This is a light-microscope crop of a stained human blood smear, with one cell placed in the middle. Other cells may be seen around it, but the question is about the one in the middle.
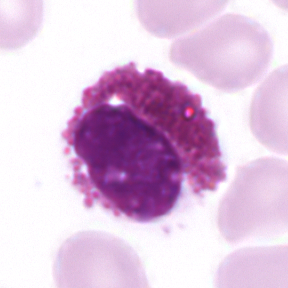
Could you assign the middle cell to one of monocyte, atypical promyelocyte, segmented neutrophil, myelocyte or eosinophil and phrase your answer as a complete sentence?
The cell in the middle of this crop is an eosinophil.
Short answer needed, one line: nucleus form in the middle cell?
If you check the nucleus, you will find one compact mass, round, oval or kidney-shaped.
